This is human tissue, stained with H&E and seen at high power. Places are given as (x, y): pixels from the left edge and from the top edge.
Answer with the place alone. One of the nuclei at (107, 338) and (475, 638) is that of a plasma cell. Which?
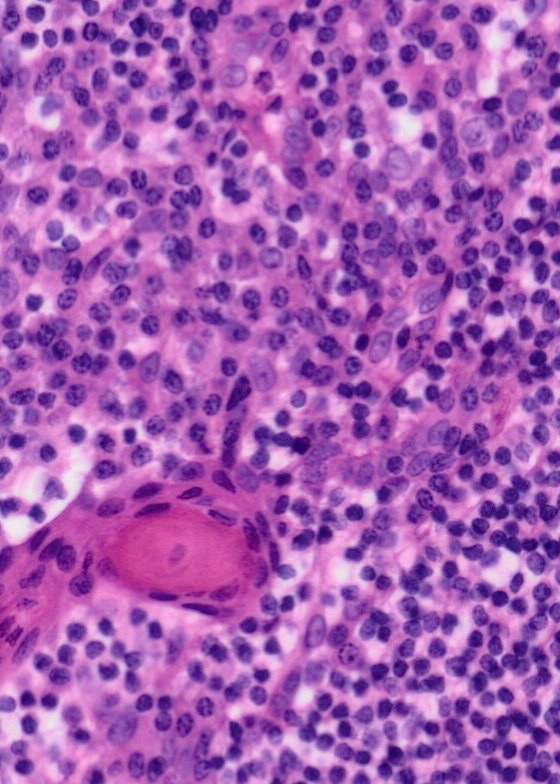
(107, 338)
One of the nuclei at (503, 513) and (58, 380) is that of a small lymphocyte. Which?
(503, 513)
